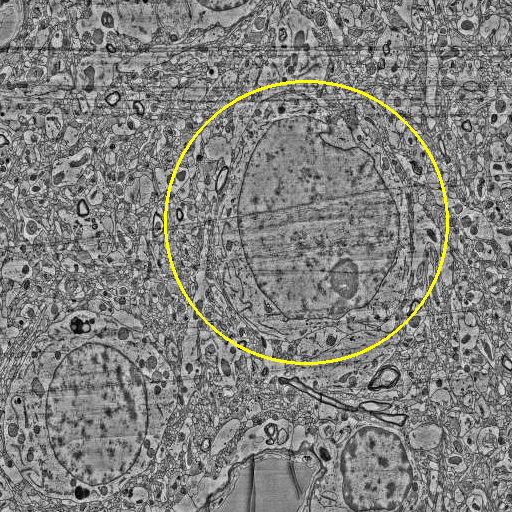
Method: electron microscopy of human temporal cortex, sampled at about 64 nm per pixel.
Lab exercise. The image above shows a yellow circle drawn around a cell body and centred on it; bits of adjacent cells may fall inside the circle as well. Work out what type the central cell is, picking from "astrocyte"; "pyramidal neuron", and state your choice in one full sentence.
In the image above, the cell at the centre of the yellow circle is a pyramidal neuron.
